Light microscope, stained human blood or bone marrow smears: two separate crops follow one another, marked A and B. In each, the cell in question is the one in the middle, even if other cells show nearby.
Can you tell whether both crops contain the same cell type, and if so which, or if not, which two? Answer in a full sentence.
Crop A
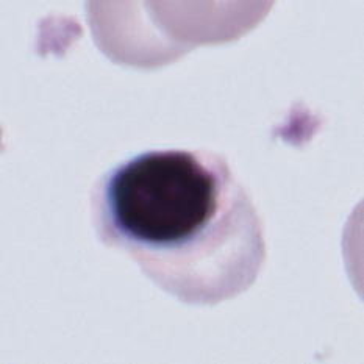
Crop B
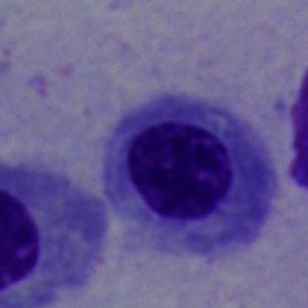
Yes, both crops show normoblasts in the centre of the field.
